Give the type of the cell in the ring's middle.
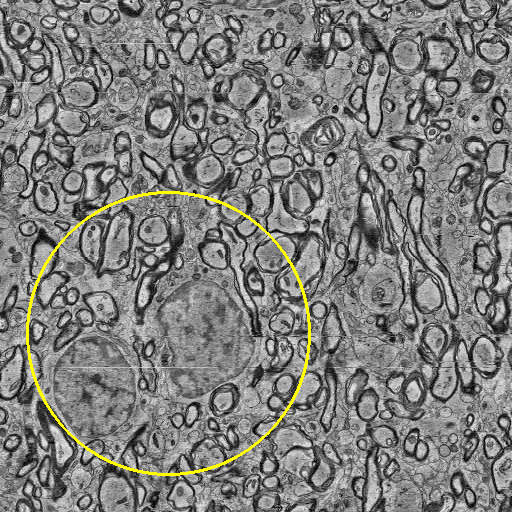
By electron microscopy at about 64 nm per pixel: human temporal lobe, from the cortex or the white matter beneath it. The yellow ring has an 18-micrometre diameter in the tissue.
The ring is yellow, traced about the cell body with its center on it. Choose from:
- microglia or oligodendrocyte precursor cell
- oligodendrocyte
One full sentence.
Here, an oligodendrocyte is the cell lying at the center of the yellow ring.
